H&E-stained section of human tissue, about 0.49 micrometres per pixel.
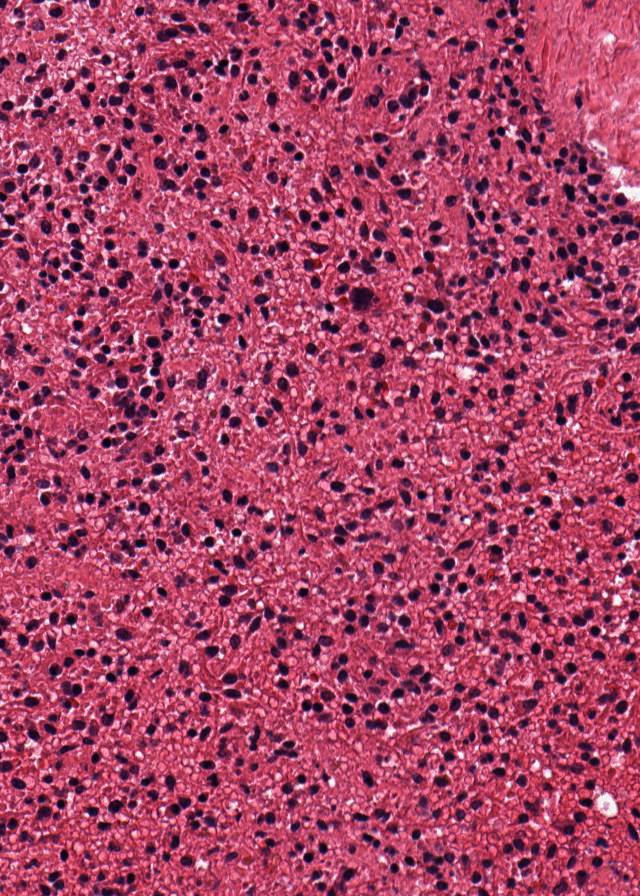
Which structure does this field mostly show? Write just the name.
red pulp of the spleen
